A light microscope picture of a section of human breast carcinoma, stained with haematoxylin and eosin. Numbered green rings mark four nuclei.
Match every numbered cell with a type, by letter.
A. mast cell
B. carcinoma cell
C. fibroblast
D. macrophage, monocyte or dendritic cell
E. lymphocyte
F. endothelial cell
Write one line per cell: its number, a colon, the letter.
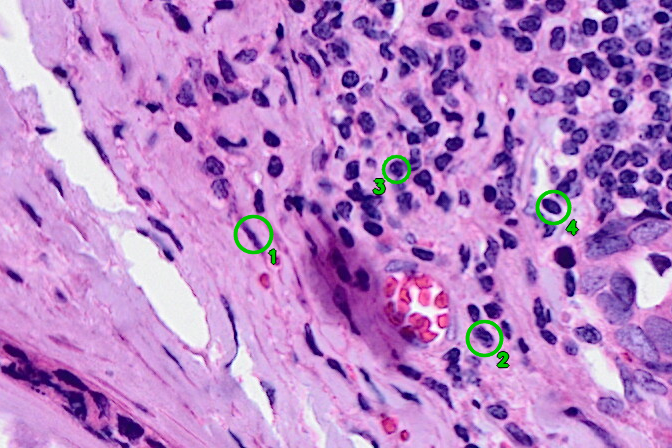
1: C
2: E
3: E
4: E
